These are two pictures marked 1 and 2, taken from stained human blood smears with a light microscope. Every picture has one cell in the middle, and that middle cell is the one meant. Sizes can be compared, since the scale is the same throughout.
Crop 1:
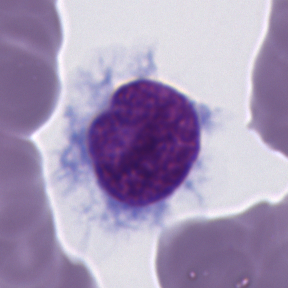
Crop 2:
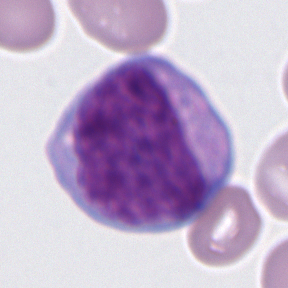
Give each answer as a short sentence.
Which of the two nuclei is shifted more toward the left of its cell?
In crop 2 the nucleus is shifted more toward the left.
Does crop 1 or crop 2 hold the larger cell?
Crop 2 holds the larger cell; it covers about 1.5 times the area of the cell in crop 1.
